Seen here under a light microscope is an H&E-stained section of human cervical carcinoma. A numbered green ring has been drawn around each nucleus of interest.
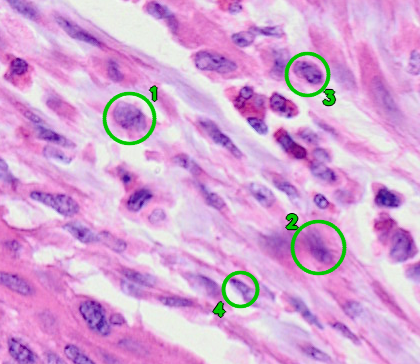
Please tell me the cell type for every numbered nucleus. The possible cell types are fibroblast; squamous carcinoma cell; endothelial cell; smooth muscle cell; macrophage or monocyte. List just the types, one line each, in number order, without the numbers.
macrophage or monocyte
endothelial cell
macrophage or monocyte
fibroblast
